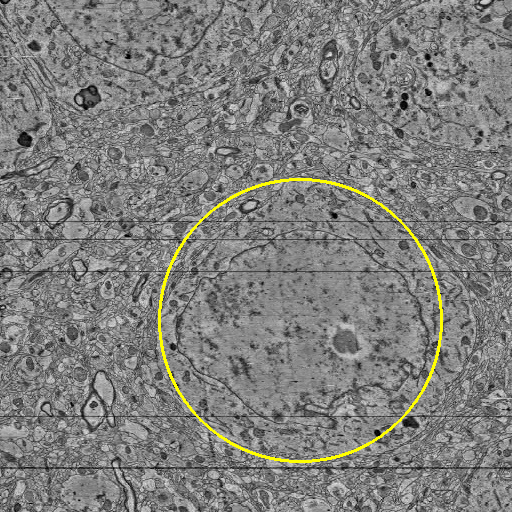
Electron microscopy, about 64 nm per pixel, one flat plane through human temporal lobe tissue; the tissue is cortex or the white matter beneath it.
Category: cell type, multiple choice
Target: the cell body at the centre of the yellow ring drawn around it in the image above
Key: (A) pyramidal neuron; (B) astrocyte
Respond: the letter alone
A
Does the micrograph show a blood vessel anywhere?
No, none shows.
